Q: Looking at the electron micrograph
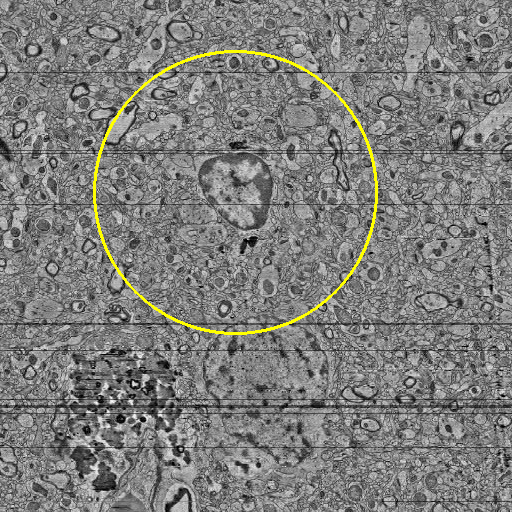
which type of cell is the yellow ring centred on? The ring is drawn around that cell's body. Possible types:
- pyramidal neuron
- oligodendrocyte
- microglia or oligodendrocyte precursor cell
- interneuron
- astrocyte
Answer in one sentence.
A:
The yellow ring is centred on a microglial cell or oligodendrocyte precursor cell.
